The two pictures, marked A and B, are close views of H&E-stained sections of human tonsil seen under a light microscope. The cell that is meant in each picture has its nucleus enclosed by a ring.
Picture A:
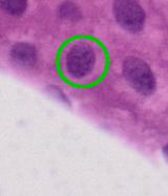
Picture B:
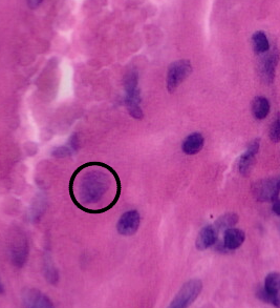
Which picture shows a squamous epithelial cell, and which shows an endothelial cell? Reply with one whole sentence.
Picture A shows a squamous epithelial cell and picture B shows an endothelial cell.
